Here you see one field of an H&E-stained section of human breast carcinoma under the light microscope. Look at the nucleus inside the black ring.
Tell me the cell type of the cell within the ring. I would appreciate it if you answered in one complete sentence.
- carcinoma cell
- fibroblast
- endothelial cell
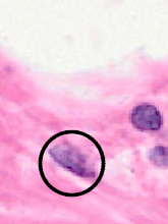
In terms of identity, the cell within the ring is a fibroblast.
